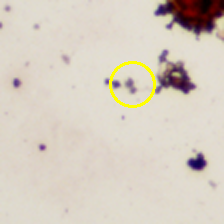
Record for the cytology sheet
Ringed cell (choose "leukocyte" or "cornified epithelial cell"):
leukocyte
